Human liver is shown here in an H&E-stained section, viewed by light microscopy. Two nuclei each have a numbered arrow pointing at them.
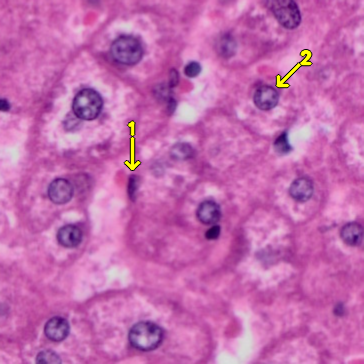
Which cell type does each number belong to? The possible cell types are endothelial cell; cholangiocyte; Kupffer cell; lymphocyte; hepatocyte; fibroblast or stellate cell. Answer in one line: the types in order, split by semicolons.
endothelial cell; hepatocyte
